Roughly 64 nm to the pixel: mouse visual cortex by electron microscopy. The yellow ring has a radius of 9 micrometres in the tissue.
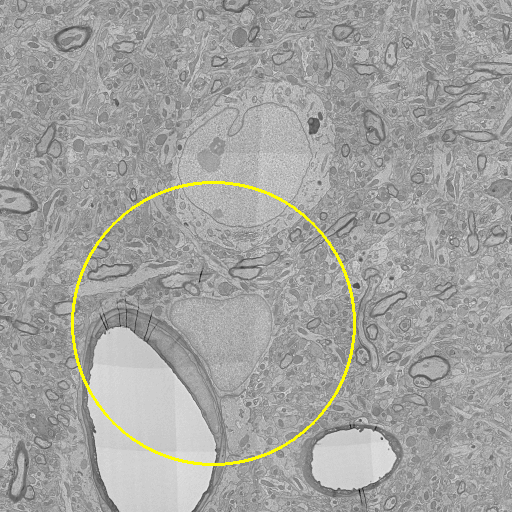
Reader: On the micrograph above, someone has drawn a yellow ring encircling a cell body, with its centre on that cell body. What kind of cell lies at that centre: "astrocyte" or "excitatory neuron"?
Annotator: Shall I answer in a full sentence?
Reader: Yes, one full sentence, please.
Here an astrocyte sits at the centre of the yellow ring drawn on the micrograph.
